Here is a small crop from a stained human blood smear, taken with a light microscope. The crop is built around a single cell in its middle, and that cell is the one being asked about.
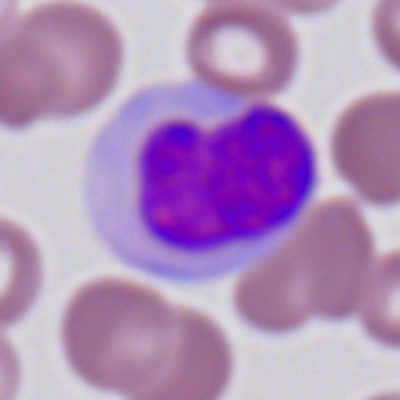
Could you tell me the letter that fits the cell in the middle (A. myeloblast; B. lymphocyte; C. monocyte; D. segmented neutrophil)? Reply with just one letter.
C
